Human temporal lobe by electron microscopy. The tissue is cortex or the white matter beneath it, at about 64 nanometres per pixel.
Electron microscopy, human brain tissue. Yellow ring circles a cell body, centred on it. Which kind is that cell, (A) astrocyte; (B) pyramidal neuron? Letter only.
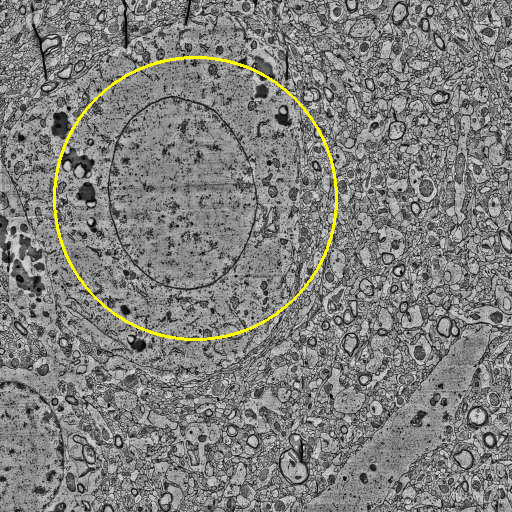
B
